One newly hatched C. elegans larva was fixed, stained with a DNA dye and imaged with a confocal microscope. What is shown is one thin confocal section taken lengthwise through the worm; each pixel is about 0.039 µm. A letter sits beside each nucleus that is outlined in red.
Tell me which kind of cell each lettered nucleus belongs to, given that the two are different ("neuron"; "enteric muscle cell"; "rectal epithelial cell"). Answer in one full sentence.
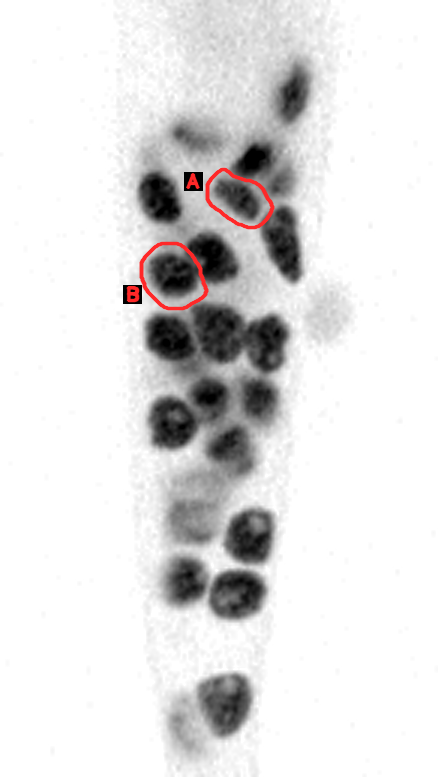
A is from a rectal epithelial cell, and B is from a neuron.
